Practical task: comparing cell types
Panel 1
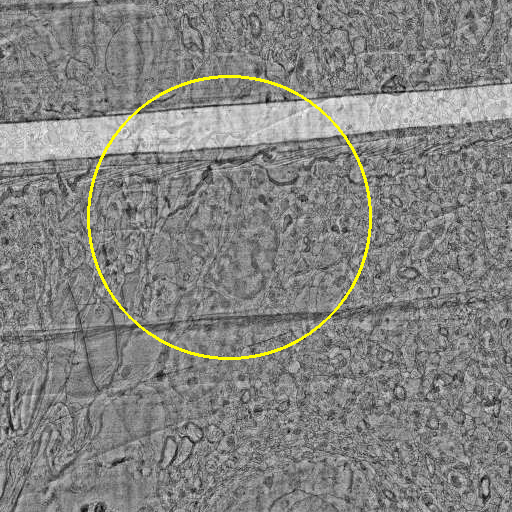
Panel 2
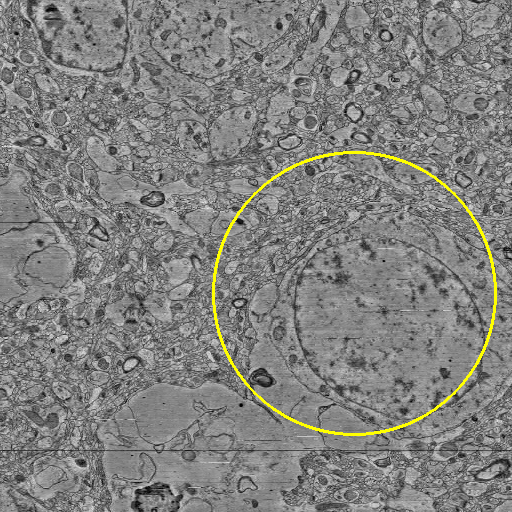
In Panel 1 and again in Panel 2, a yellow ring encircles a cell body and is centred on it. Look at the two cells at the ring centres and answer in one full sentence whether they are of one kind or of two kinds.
The two cells sitting at the ring centres of Panels 1 and 2 are of two kinds.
